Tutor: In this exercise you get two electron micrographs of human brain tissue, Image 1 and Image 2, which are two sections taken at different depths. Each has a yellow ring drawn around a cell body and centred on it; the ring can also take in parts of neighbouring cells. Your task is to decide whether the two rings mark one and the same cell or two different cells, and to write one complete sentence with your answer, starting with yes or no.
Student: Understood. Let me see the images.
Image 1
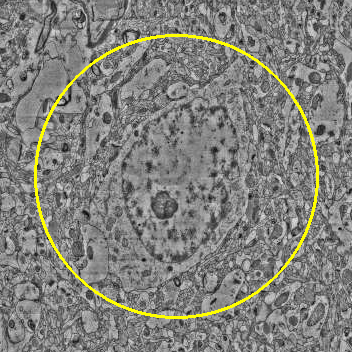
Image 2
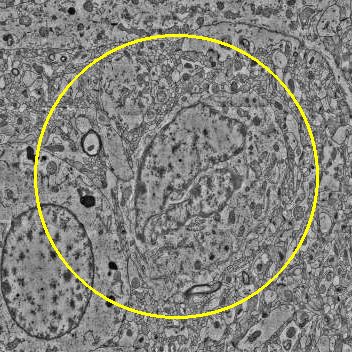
No, the rings do not mark the same cell.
